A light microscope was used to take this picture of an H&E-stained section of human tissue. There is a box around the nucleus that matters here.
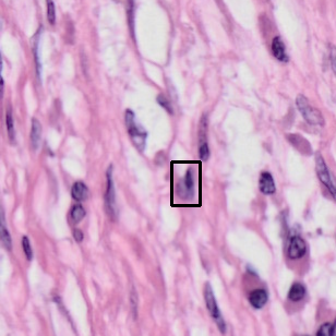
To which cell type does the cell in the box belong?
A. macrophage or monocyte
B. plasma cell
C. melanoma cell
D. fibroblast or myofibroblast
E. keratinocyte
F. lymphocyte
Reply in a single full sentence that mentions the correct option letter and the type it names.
Of the options offered, A is correct, as the cell in the box is a macrophage or monocyte.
